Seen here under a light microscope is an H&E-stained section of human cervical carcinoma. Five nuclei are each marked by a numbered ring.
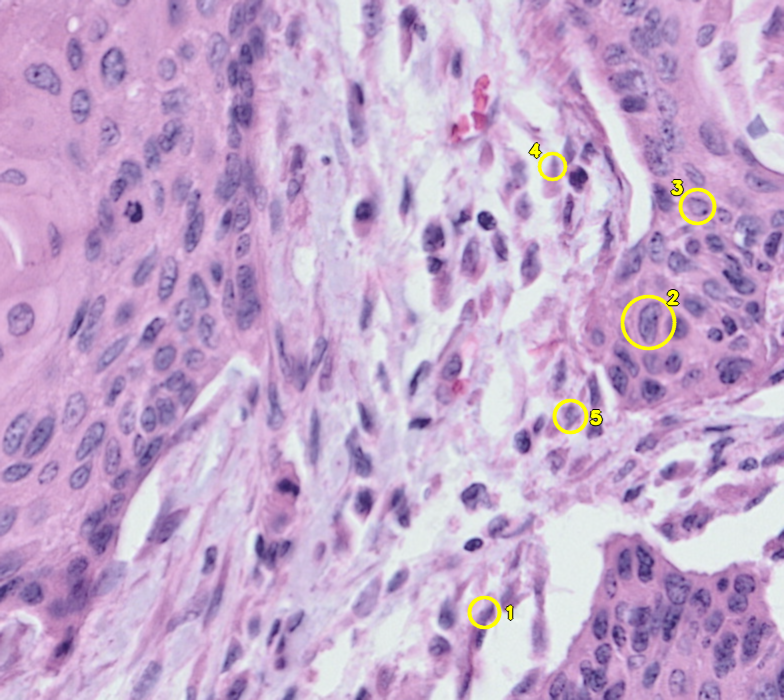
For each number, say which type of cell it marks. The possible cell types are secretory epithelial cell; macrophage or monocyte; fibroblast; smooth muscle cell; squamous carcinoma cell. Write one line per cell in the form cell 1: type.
cell 1: fibroblast
cell 2: squamous carcinoma cell
cell 3: squamous carcinoma cell
cell 4: fibroblast
cell 5: fibroblast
